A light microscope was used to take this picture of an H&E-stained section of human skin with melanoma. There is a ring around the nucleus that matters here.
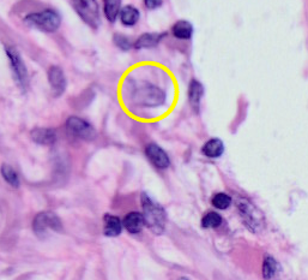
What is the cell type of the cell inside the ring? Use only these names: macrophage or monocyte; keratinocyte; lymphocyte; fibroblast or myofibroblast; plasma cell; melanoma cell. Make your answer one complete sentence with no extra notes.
In this preparation, the cell inside the ring is a fibroblast or myofibroblast.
